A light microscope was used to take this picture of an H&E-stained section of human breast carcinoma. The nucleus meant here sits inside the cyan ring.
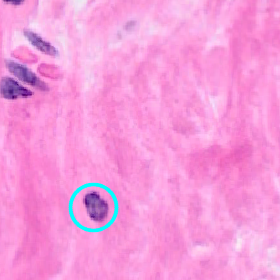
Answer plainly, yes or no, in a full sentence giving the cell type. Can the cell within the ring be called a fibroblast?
No, the cell within the ring is regarded as a lymphocyte rather than a fibroblast.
